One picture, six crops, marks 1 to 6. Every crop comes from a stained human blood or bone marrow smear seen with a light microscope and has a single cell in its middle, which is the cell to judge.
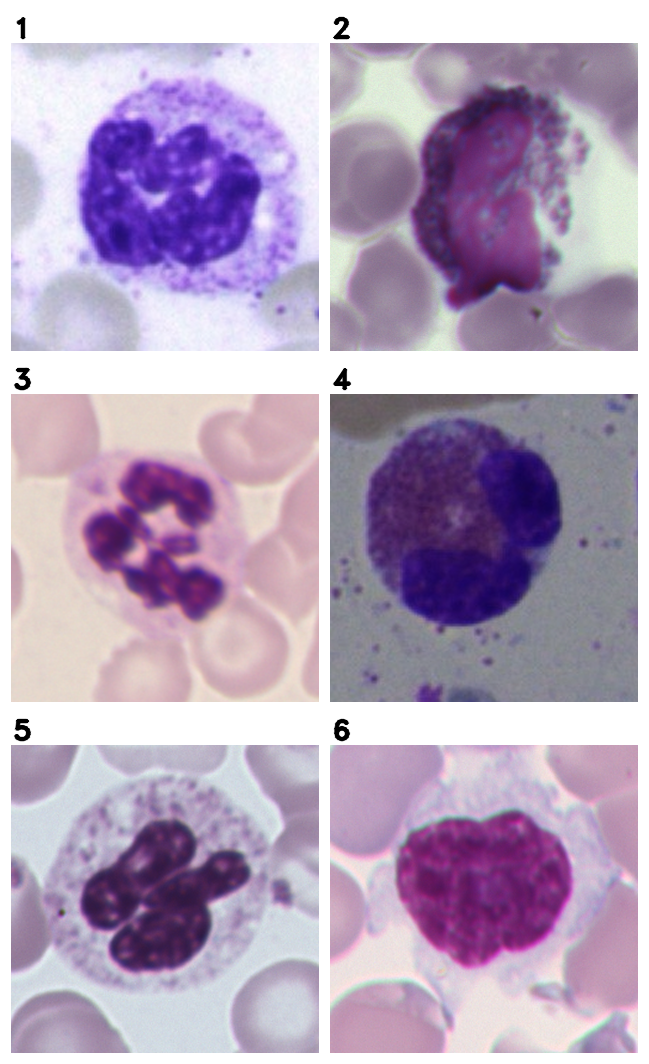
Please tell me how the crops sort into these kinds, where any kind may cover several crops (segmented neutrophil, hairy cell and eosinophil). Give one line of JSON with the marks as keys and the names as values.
{"1": "segmented neutrophil", "2": "eosinophil", "3": "segmented neutrophil", "4": "eosinophil", "5": "segmented neutrophil", "6": "hairy cell"}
